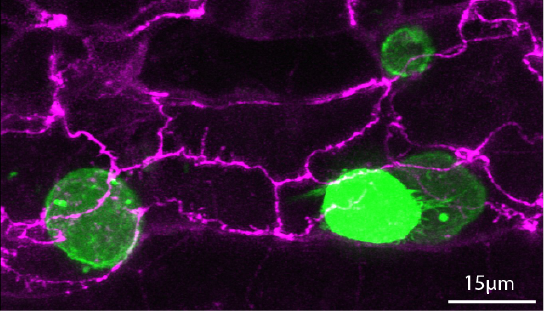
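The image shows the wall of a small blood vessel with endothelial cell-cell junctions drawn as thin, wavy magenta lines that outline elongated endothelial cells. The green cells are round to oval with bright, somewhat granular cytoplasm. The lower green cells rest over the junction network, with magenta lines passing beneath or beside them. The magenta junction lines run mostly along the length of the vessel with short branching connections between them.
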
